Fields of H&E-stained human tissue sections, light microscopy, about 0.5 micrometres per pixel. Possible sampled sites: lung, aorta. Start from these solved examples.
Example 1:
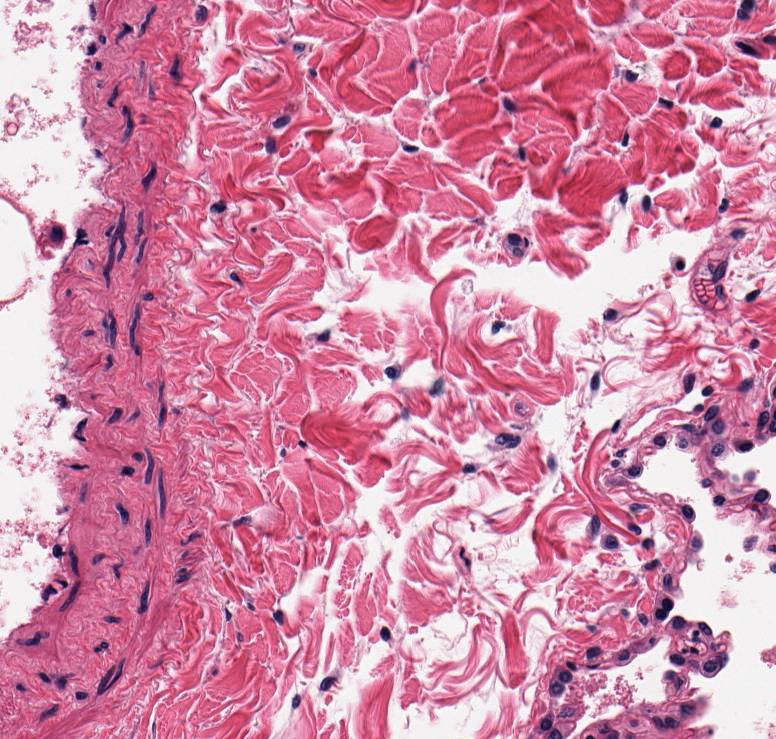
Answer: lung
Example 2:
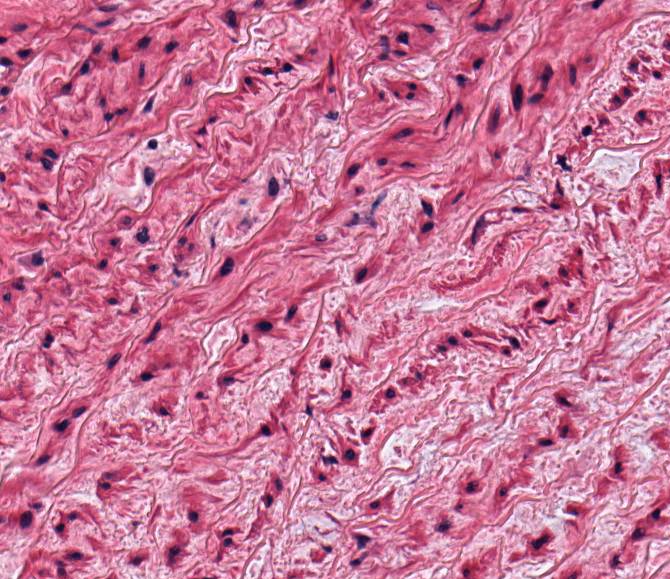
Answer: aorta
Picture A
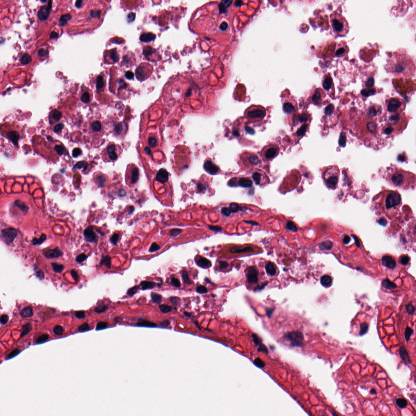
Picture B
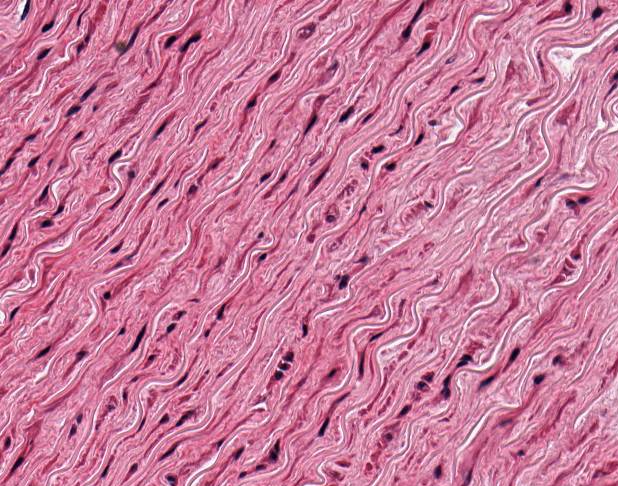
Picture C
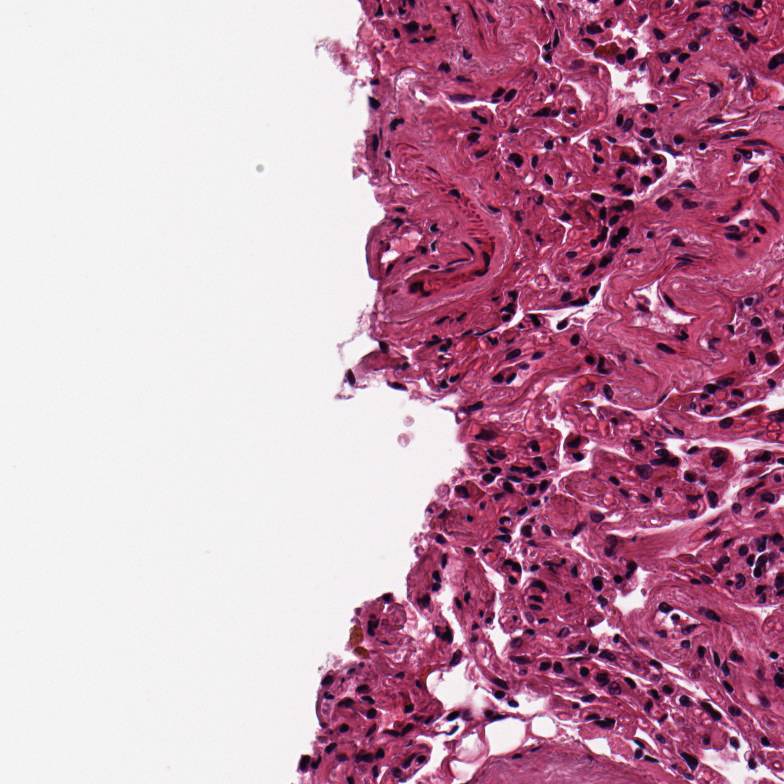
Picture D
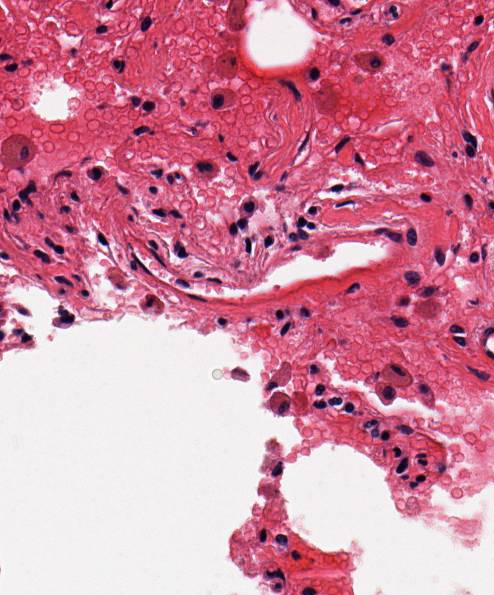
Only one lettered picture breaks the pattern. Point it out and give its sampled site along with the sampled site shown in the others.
B differs and shows aorta; the others show lung.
